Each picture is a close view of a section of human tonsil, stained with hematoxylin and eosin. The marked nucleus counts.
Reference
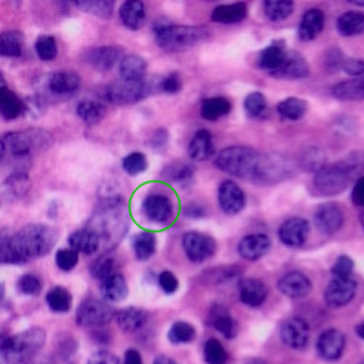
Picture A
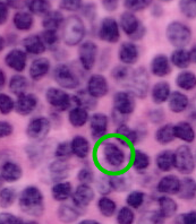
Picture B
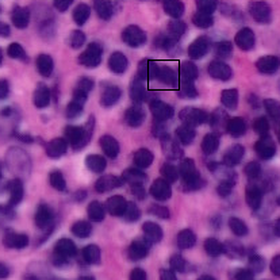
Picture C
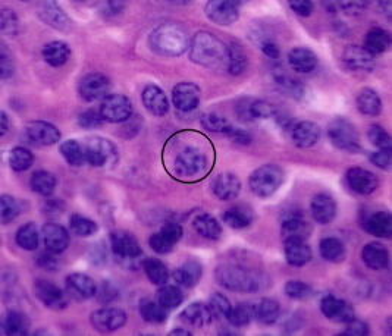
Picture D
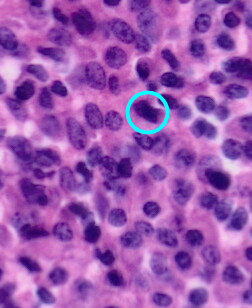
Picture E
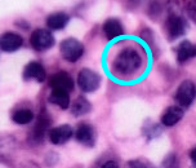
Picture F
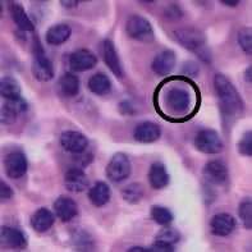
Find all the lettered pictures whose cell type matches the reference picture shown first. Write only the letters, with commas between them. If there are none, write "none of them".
C, D, E, F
